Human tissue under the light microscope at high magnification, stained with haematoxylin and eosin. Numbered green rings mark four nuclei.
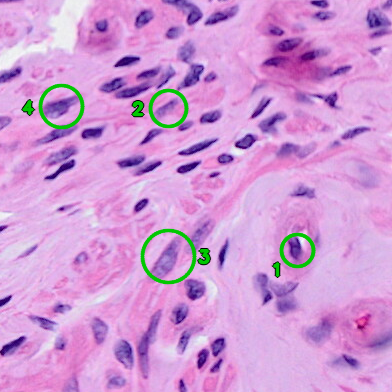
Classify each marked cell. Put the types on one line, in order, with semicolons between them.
endothelial cell; smooth muscle cell; smooth muscle cell; smooth muscle cell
